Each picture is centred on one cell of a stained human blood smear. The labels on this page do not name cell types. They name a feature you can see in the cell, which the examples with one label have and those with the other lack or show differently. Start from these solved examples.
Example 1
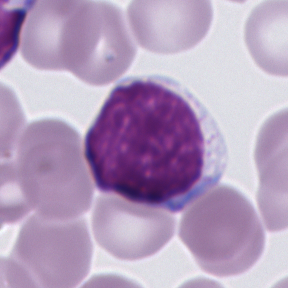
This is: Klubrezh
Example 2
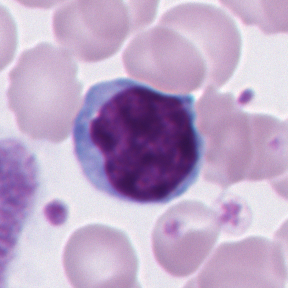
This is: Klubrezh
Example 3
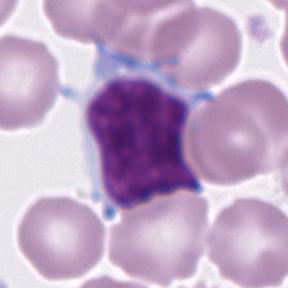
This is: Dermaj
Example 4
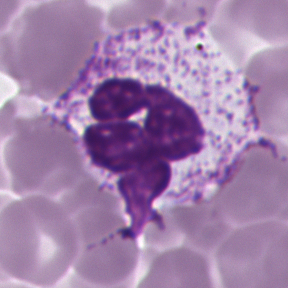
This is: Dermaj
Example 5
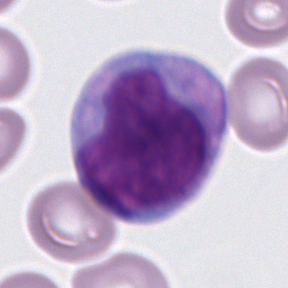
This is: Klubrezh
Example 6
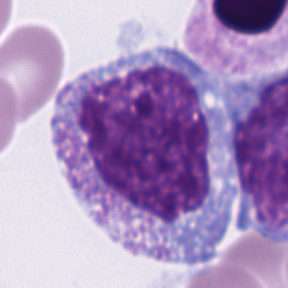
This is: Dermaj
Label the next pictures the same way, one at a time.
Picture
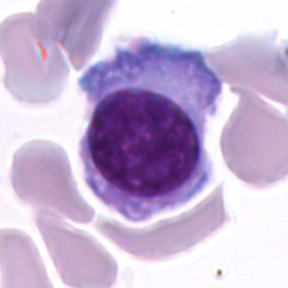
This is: Dermaj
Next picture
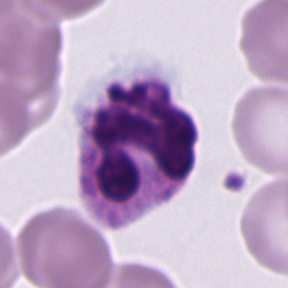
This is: Dermaj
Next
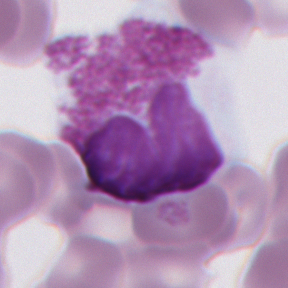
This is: Dermaj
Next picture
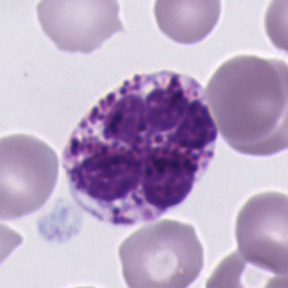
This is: Klubrezh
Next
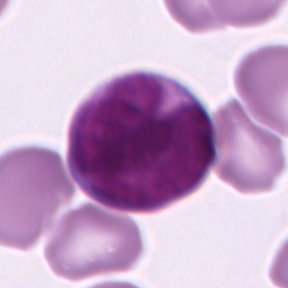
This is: Klubrezh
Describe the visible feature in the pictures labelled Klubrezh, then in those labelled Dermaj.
In Klubrezh: smooth outline. In Dermaj: ragged outline or projections.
